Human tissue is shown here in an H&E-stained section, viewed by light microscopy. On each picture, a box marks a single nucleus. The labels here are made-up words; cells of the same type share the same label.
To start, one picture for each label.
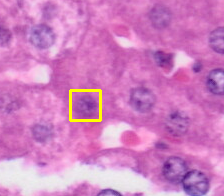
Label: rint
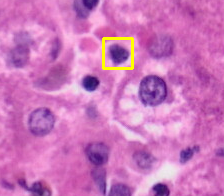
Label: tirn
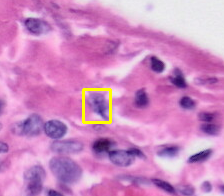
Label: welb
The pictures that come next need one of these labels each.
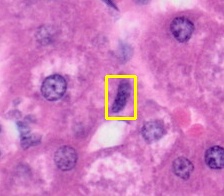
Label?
welb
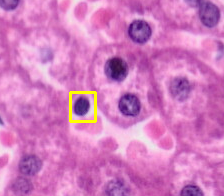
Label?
tirn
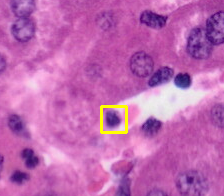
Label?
tirn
